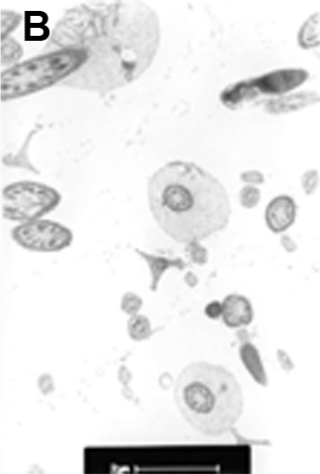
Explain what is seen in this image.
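Transmission electron micrograph of sperm tails in cross-section among scattered debris and some obliquely cut sperm profiles, including elongated dark heads at the top. Several small round tail sections with dark outer rings and internal dense fibres lie isolated, while others sit at the centre of a much larger pale, rounded mass of cytoplasm bounded by a thin membrane, forming cytoplasmic droplets around the mid-piece. Irregular pale fragments and small dark bodies are scattered between the profiles, giving a more heterogeneous appearance.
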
